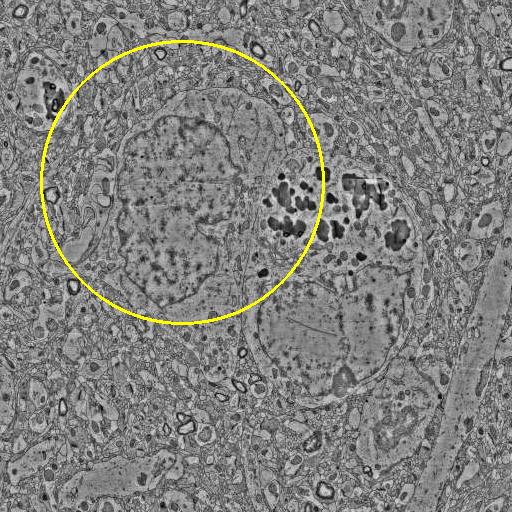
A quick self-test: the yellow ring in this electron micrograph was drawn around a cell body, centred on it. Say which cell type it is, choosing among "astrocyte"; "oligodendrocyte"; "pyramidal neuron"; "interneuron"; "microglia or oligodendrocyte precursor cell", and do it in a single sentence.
The yellow-ringed cell is an interneuron.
